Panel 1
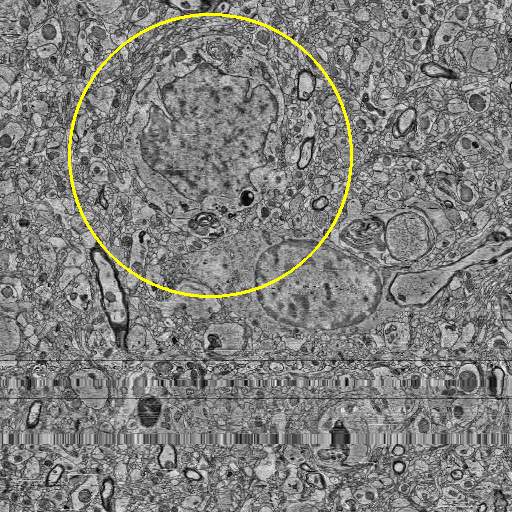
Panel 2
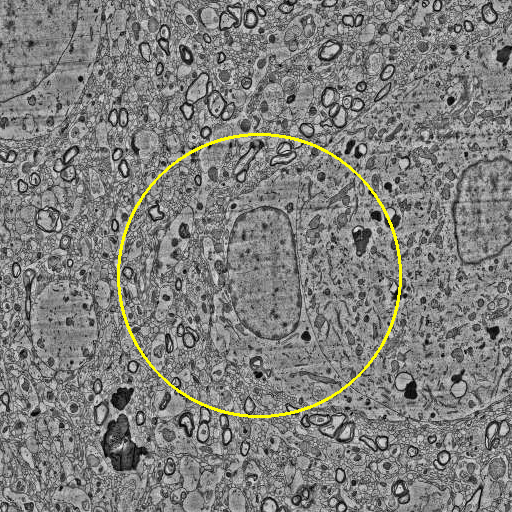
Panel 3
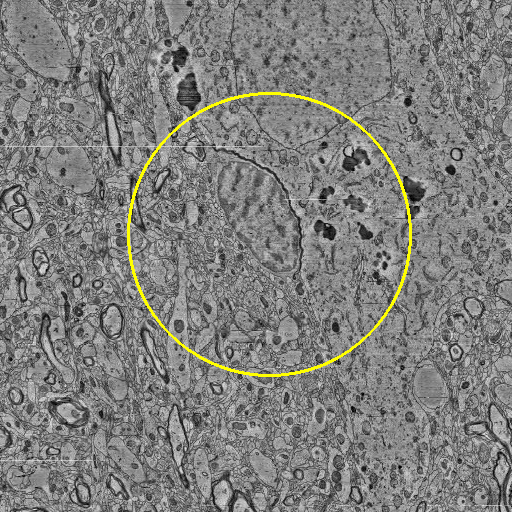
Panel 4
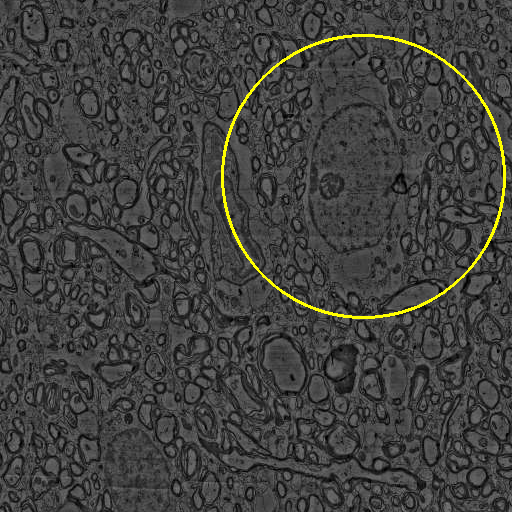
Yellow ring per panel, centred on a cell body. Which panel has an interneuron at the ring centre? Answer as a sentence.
Panel 1 shows it at the ring centre.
